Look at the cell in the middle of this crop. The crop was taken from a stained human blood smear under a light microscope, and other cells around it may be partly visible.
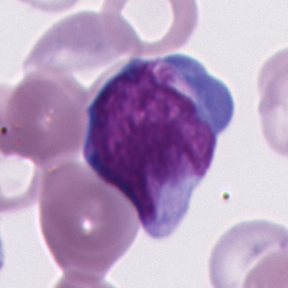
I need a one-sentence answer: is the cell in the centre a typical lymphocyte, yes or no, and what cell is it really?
No, the cell in the centre of the crop is a myeloblast as opposed to a typical lymphocyte.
